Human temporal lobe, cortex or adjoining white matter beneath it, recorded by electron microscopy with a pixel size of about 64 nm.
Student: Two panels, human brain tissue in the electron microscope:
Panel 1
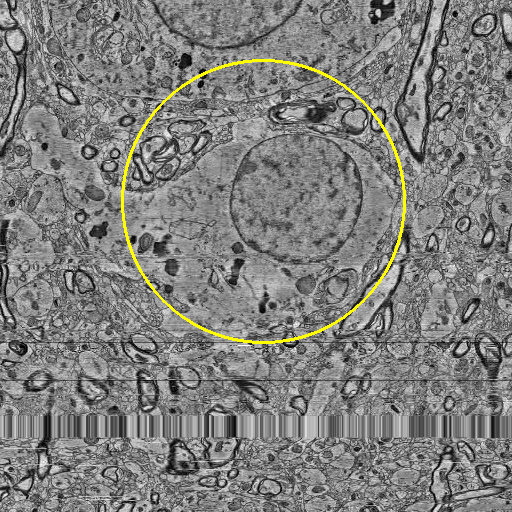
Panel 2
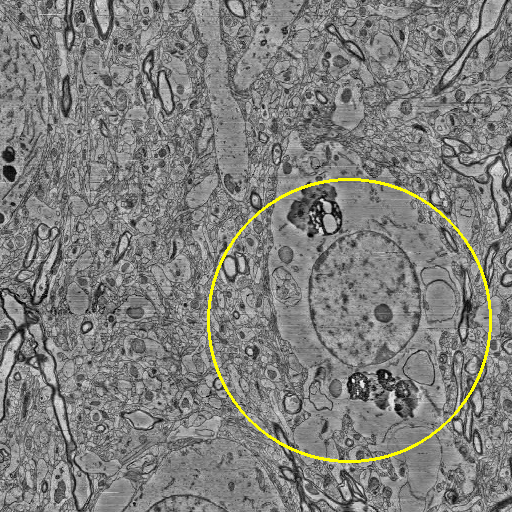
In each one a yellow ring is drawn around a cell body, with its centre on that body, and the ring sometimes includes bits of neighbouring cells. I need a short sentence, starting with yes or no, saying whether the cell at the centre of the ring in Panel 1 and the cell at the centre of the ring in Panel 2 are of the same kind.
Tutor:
Yes, they are the same kind of cell.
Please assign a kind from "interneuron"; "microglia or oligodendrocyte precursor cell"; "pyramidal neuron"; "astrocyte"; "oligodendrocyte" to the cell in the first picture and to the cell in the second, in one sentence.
Both pictures show an astrocyte at the centre of the ring.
